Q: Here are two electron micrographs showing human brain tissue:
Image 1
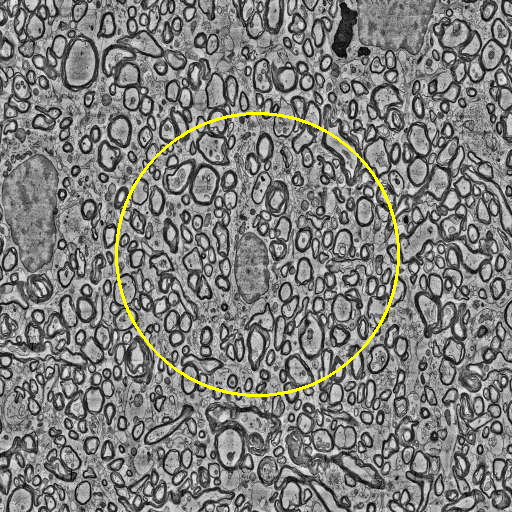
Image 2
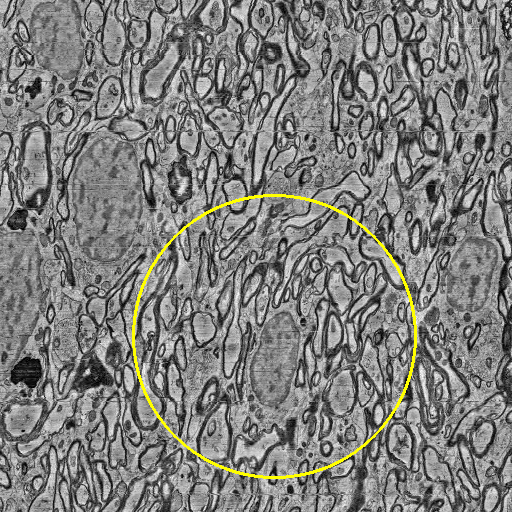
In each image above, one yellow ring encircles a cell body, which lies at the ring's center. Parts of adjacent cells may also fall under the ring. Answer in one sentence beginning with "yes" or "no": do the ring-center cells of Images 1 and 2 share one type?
No, in Images 1 and 2, the ring-center cells are of two types.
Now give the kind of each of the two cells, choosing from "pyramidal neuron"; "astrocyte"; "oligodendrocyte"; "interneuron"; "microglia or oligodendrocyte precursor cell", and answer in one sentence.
The cell in the first picture is a microglial cell or oligodendrocyte precursor cell, and the cell in the second is an oligodendrocyte.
